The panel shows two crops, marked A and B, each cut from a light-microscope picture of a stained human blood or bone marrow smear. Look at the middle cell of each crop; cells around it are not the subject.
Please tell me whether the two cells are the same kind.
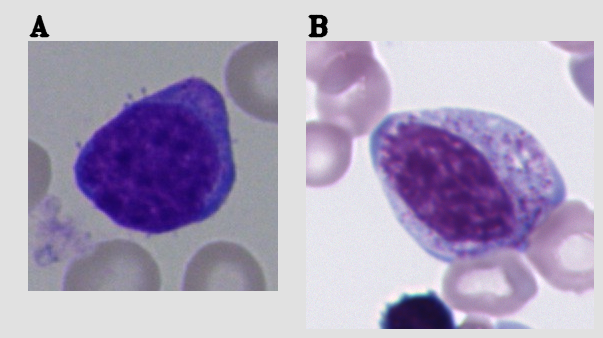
no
